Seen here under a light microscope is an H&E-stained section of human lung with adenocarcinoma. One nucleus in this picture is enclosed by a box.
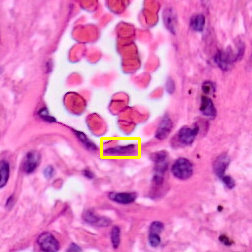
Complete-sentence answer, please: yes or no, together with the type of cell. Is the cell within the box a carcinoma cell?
No, judged by cell type, the cell within the box is an endothelial cell, not a carcinoma cell.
